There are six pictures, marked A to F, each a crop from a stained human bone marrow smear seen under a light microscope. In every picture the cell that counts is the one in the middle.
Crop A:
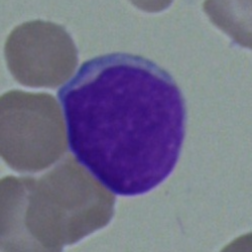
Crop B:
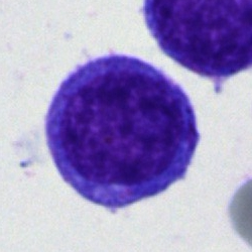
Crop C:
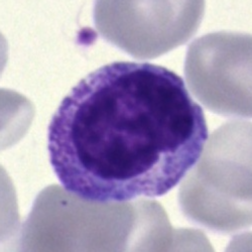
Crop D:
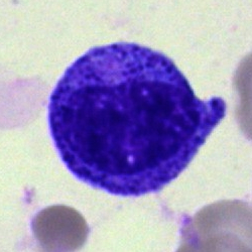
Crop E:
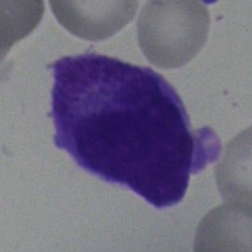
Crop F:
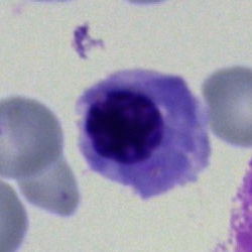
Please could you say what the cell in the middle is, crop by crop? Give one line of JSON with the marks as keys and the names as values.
{"A": "blast", "B": "blast", "C": "promyelocyte", "D": "promyelocyte", "E": "blast", "F": "erythroblast"}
